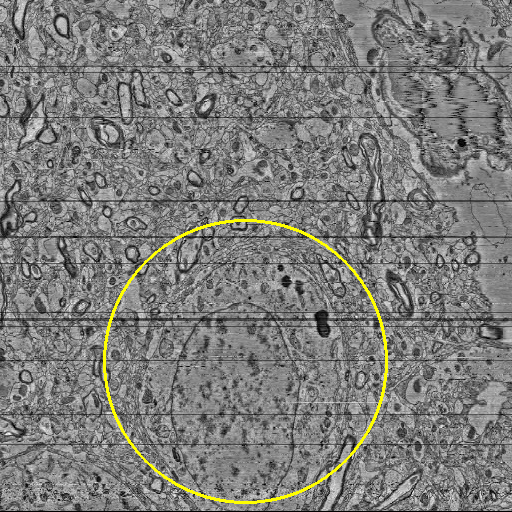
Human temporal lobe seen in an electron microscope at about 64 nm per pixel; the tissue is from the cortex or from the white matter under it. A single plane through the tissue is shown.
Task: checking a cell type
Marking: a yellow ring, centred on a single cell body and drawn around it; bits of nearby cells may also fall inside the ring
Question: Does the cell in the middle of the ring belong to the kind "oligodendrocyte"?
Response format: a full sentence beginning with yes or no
No, the cell marked at the ring's centre in the picture is of a different kind.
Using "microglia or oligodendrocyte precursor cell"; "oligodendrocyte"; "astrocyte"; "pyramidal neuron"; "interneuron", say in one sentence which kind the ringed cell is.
The ringed cell in this picture is, instead, a pyramidal neuron.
